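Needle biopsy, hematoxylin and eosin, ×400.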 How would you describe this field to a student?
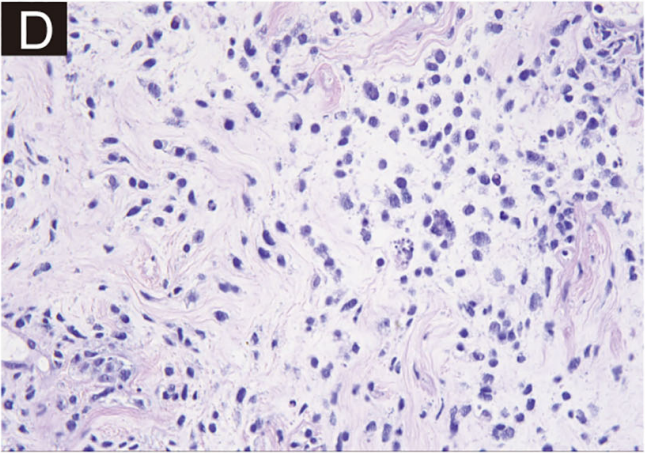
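Atypical cells lie scattered singly within a pale, loose pink stromal tissue. The cytoplasm is scant and pale, so the nuclei stand out against the stroma. Wisps of pink collagen run between the cells.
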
